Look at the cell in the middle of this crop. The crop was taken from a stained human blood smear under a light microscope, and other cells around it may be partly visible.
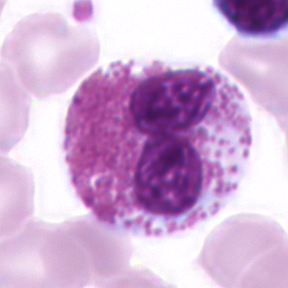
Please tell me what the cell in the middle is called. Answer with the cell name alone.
eosinophil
